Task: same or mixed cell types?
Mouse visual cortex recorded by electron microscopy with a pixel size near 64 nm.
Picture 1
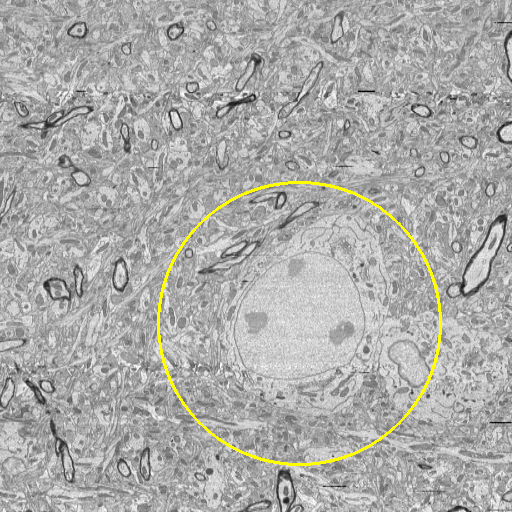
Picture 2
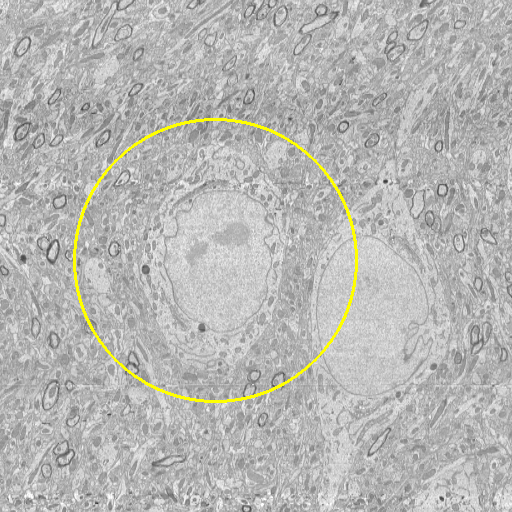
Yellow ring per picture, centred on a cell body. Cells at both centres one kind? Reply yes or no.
no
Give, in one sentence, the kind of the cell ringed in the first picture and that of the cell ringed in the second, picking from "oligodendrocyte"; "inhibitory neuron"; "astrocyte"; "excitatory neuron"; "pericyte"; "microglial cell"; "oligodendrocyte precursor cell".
For the first picture it is an excitatory neuron; for the second, an inhibitory neuron.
